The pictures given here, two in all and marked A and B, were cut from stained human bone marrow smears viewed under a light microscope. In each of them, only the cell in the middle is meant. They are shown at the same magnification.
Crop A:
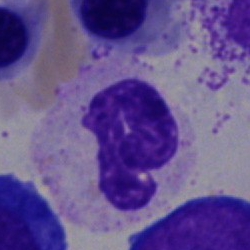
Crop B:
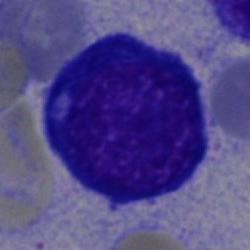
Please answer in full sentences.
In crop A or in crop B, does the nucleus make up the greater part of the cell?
It is the cell in crop B that is filled more by its nucleus.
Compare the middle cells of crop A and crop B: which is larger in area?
Larger is the cell in crop B, at roughly 1.5 times the area of the other.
